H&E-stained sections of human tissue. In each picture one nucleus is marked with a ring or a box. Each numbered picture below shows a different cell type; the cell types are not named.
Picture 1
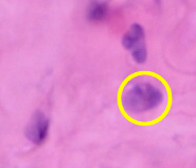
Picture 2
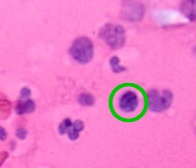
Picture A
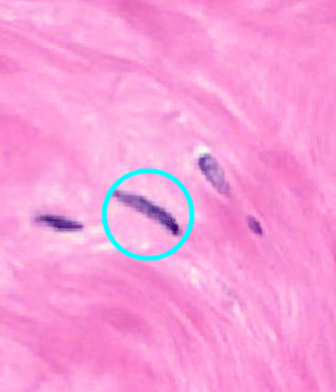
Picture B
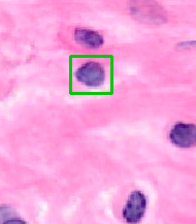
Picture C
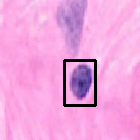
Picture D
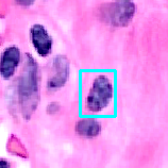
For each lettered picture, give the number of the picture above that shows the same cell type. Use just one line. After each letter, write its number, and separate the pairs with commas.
A 1, B 2, C 2, D 2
